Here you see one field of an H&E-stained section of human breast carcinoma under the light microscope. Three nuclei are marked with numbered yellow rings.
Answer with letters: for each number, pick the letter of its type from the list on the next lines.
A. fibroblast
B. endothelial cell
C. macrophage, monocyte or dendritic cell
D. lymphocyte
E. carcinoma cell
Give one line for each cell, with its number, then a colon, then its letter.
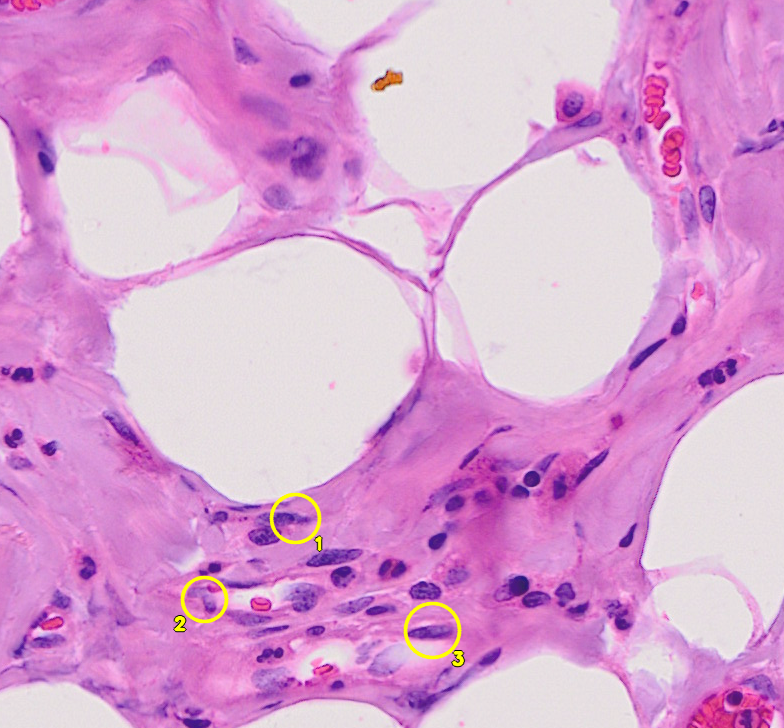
1: A
2: B
3: B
